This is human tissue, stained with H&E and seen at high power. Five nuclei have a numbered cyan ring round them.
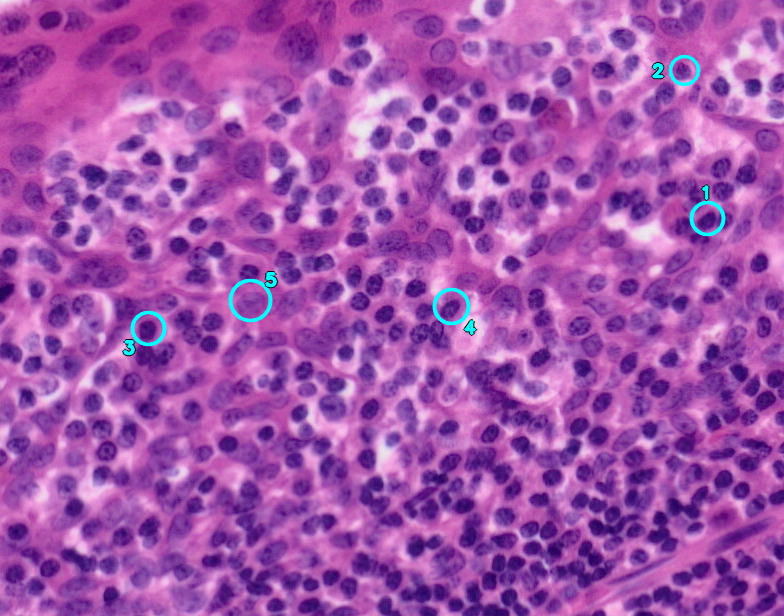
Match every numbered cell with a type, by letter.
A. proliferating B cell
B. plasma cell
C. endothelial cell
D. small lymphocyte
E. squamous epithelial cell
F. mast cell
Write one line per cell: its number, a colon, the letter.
1: B
2: E
3: B
4: B
5: E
